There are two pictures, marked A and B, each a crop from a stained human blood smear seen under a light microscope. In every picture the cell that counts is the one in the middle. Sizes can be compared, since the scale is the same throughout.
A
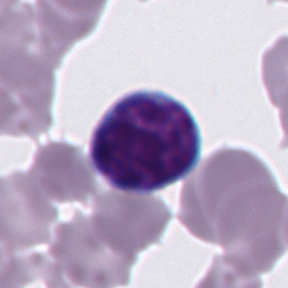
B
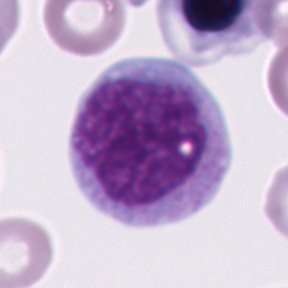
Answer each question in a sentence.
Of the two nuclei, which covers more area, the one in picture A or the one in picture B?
The nucleus in picture B is larger, with about 1.5 times the area of the one in picture A.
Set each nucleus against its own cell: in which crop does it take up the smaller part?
It is the cell in picture B that is filled less by its nucleus.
